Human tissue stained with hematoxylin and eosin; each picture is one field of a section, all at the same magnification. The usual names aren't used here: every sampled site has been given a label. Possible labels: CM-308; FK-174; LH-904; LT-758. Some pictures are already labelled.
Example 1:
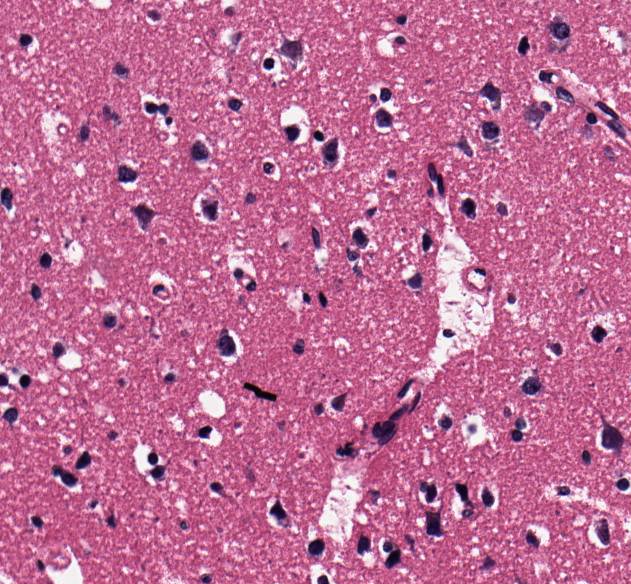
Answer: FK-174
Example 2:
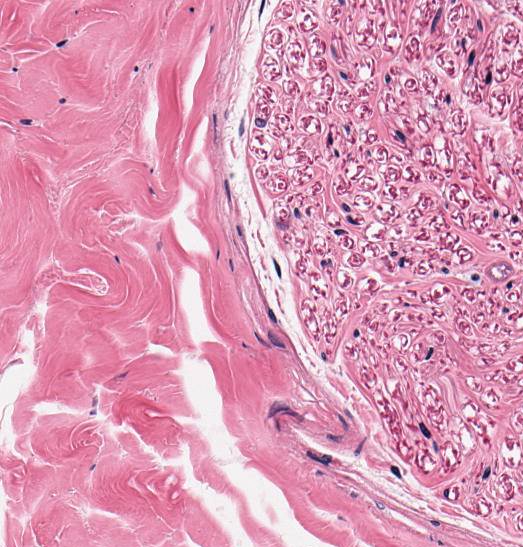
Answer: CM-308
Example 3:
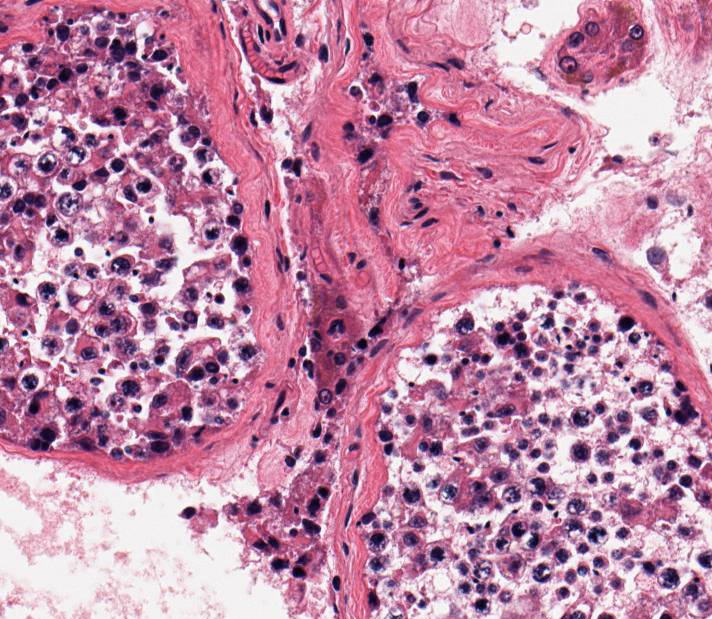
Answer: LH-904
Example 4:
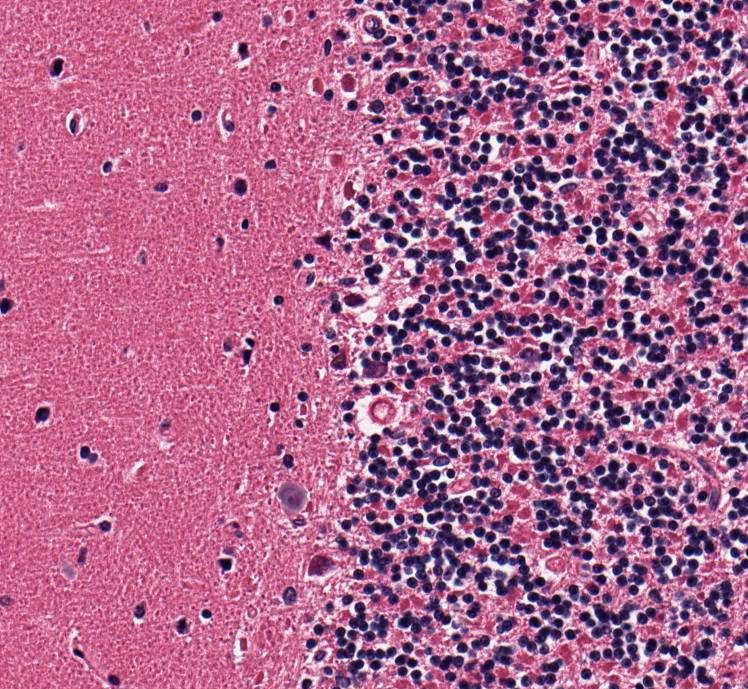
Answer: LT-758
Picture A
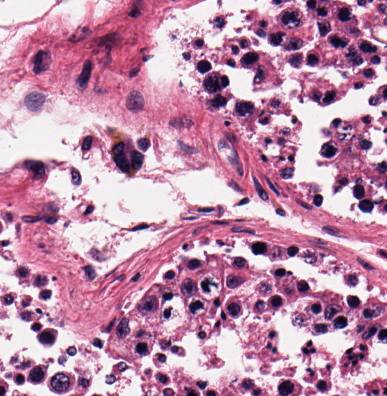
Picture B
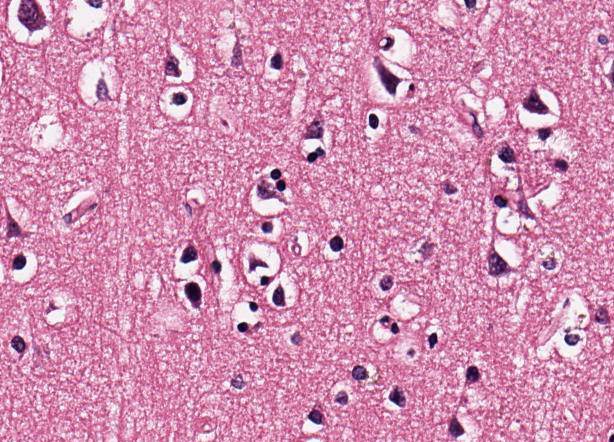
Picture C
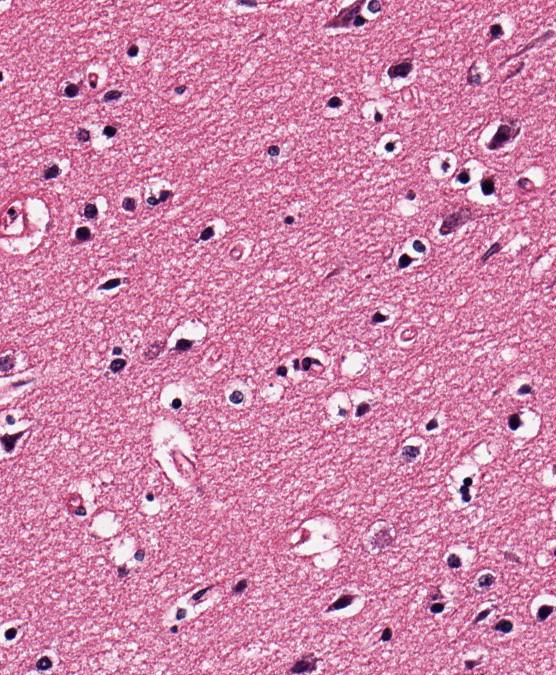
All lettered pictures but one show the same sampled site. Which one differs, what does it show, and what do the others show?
Odd one out: A (LH-904). The rest: FK-174.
